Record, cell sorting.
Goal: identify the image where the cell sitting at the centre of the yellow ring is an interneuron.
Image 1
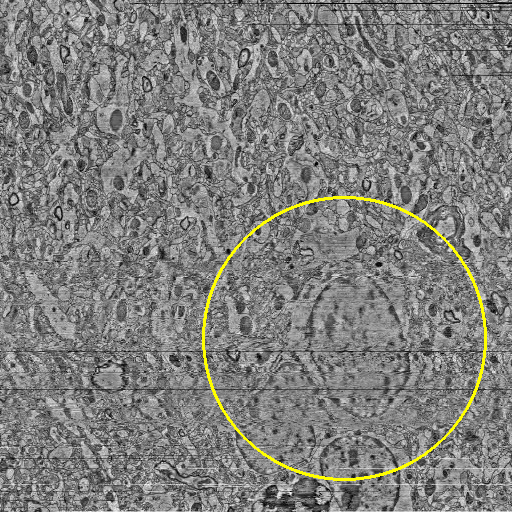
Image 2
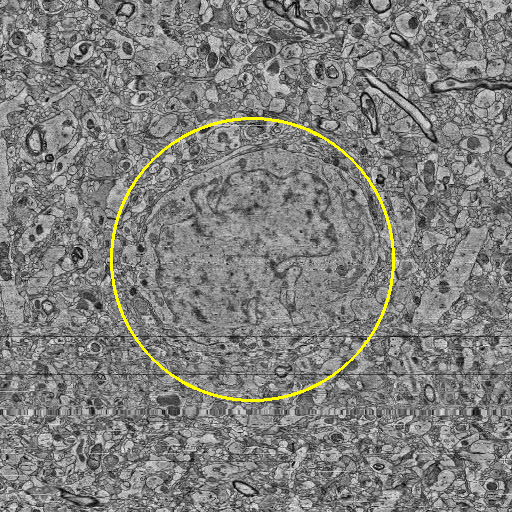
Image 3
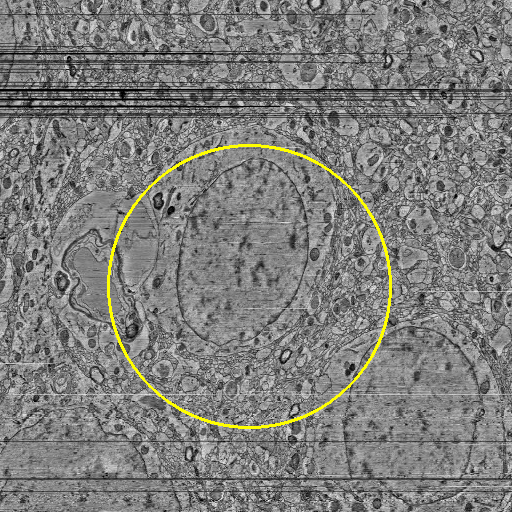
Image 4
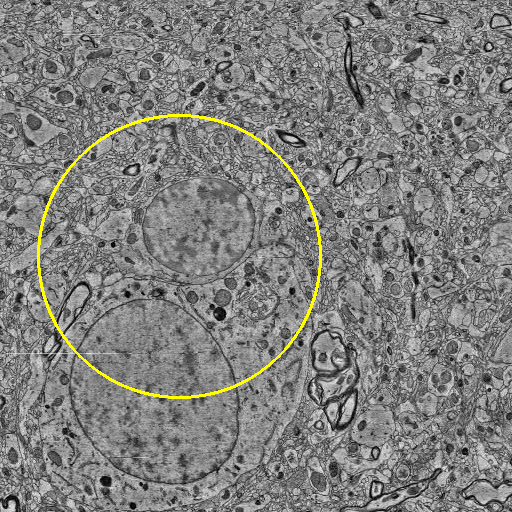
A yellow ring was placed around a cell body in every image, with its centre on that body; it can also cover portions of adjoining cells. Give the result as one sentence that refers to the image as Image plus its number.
Image 2 shows the requested cell sitting right at the centre of its ring.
